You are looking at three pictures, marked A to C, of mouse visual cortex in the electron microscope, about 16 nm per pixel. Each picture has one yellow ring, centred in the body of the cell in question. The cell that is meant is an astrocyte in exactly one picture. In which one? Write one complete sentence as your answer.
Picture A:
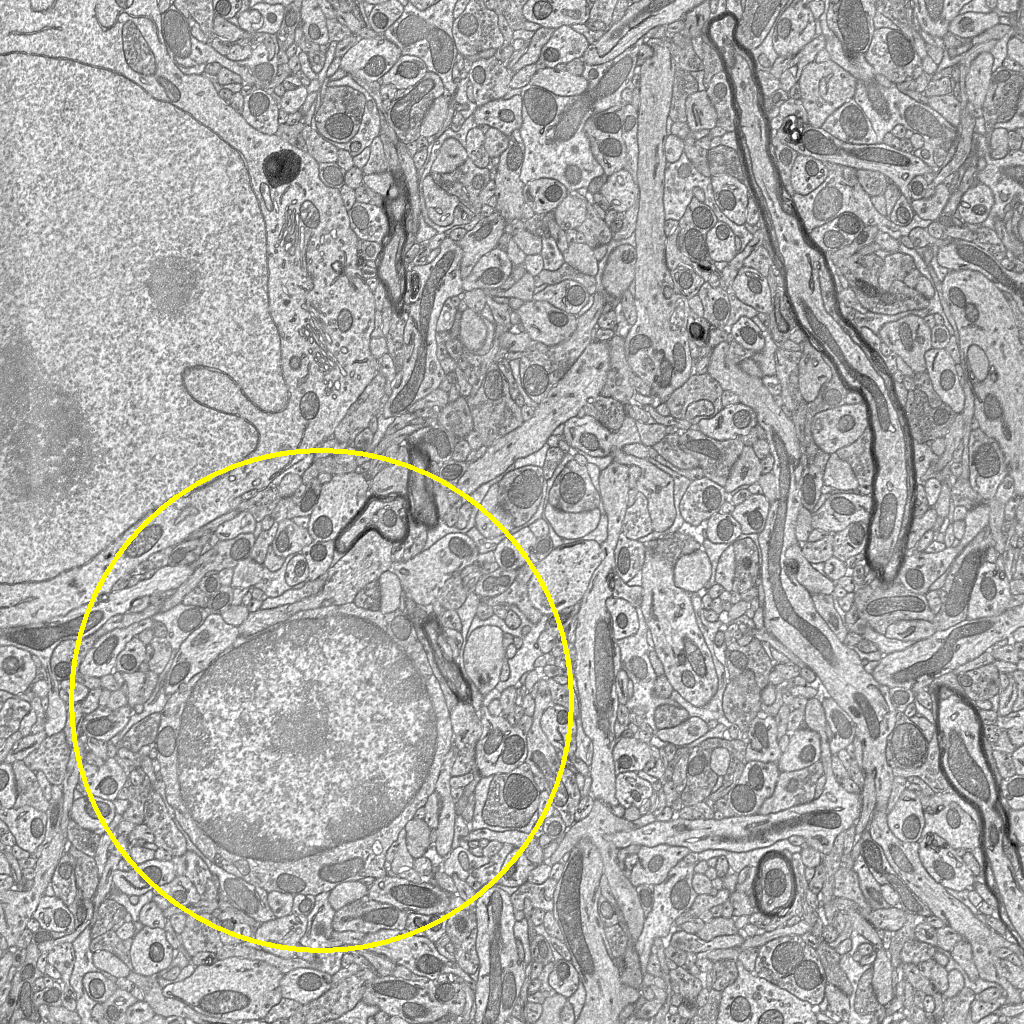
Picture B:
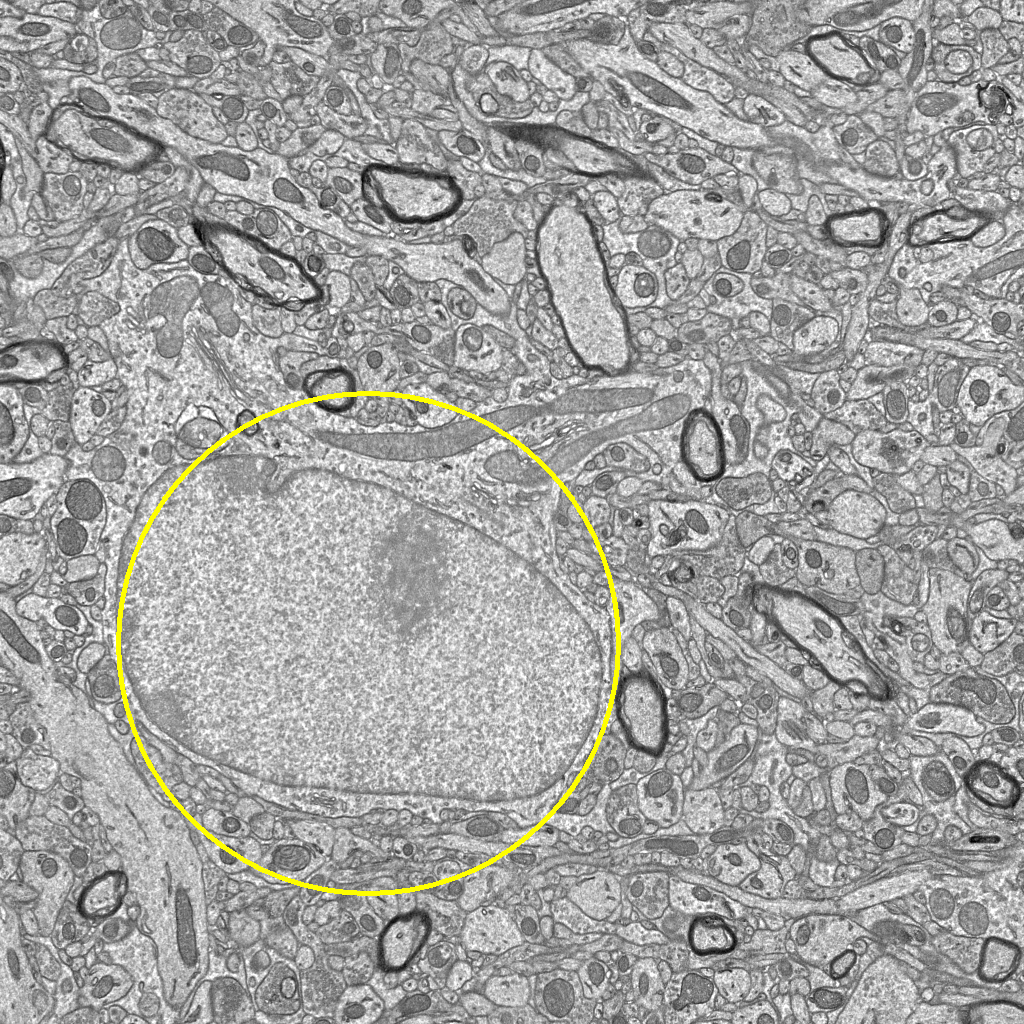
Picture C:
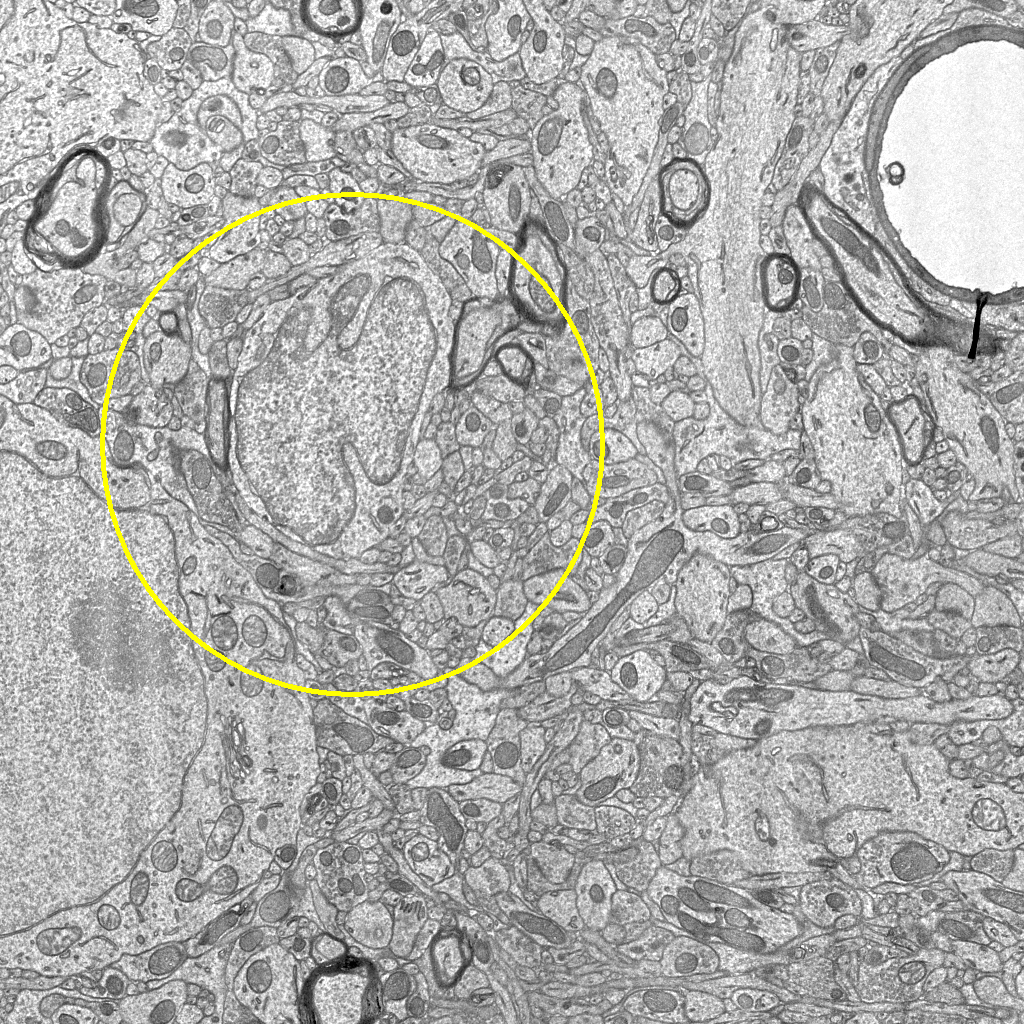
The astrocyte is the one in picture B.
